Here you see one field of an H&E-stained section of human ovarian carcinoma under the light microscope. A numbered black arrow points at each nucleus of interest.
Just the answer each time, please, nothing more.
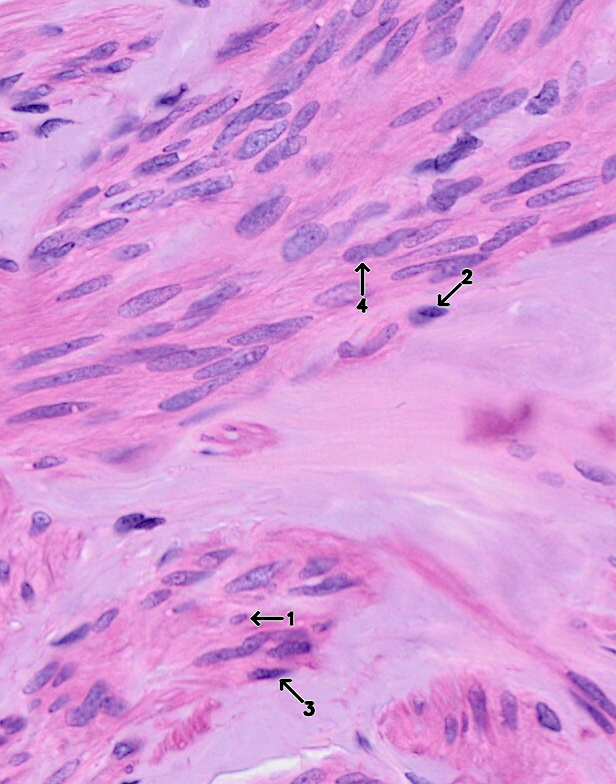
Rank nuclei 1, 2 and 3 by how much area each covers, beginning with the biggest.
2, 3, 1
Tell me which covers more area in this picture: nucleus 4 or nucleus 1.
4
